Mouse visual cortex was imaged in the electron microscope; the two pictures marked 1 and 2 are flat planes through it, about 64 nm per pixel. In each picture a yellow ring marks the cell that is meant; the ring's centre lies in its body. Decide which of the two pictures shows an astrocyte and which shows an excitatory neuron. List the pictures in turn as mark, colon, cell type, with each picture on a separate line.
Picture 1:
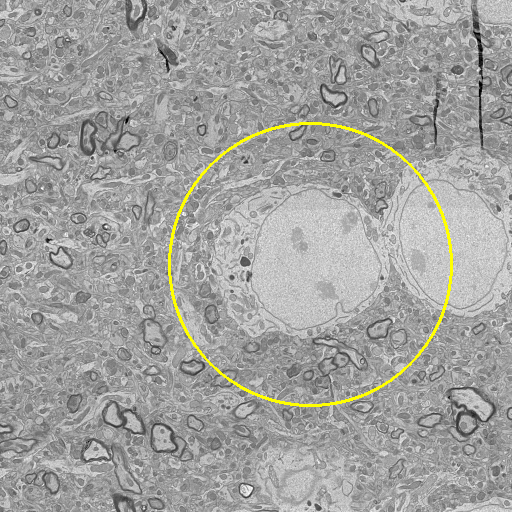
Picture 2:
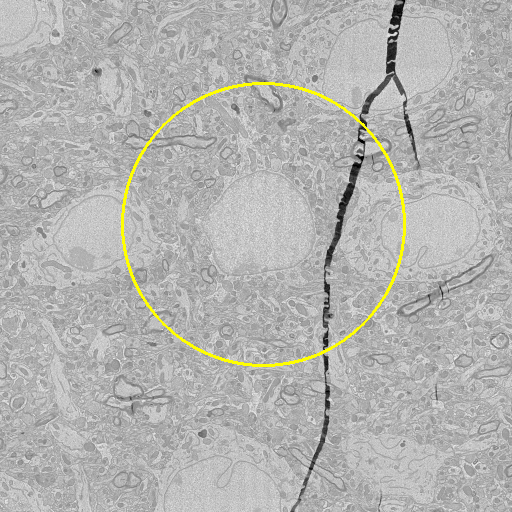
1: excitatory neuron
2: astrocyte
